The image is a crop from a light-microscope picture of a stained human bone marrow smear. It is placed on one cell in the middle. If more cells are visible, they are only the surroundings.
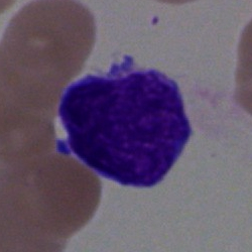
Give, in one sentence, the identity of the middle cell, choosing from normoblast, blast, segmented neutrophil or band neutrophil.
The central cell in this smear crop is a blast.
